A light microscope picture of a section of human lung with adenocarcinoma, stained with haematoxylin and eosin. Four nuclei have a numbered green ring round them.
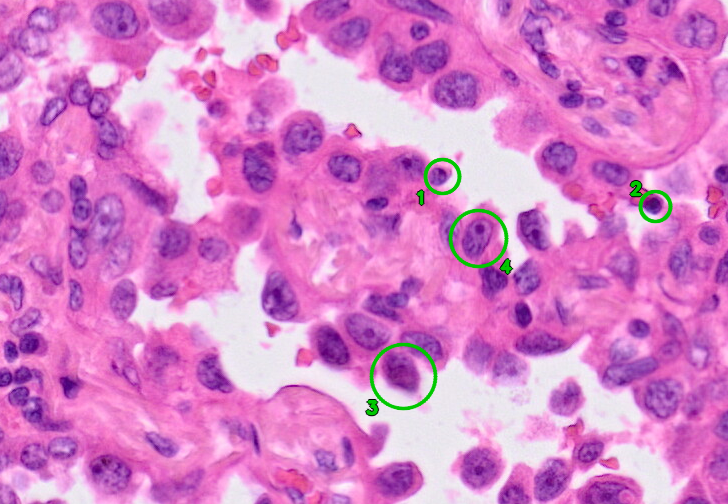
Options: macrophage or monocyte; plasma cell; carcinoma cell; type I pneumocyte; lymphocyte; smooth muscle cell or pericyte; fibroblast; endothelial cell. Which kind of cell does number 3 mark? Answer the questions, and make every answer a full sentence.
As for number 3, that cell is a carcinoma cell.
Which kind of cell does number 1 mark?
Within this field of view, the cell labelled 1 is a lymphocyte.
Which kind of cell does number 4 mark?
Cell number 4 in this section is a carcinoma cell.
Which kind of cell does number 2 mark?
Recognised here as a lymphocyte is the cell numbered 2.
